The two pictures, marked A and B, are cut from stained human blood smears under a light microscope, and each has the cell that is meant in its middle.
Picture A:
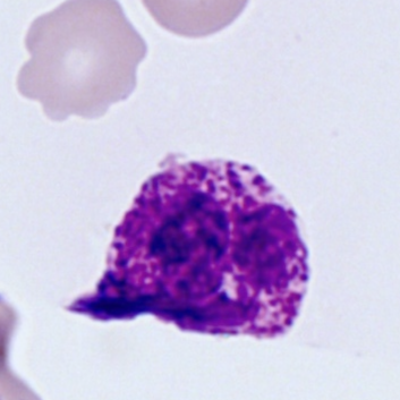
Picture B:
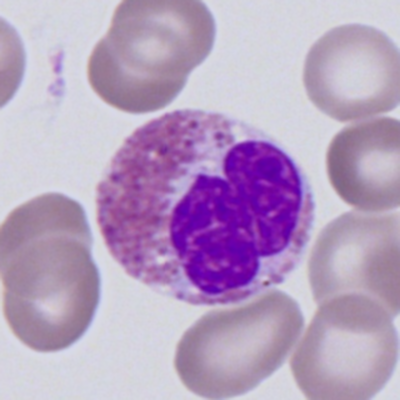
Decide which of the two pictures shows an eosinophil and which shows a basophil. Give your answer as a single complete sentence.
Picture B shows an eosinophil, while picture A shows a basophil.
